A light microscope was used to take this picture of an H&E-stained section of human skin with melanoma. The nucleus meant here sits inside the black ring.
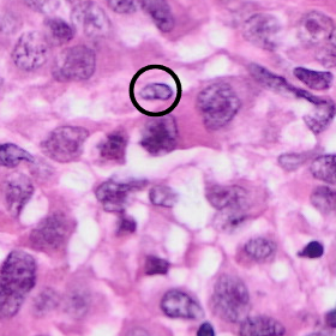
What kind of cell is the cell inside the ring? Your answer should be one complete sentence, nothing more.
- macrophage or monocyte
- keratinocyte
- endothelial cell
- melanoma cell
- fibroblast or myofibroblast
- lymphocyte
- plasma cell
Just put down that the cell inside the ring is a macrophage or monocyte.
